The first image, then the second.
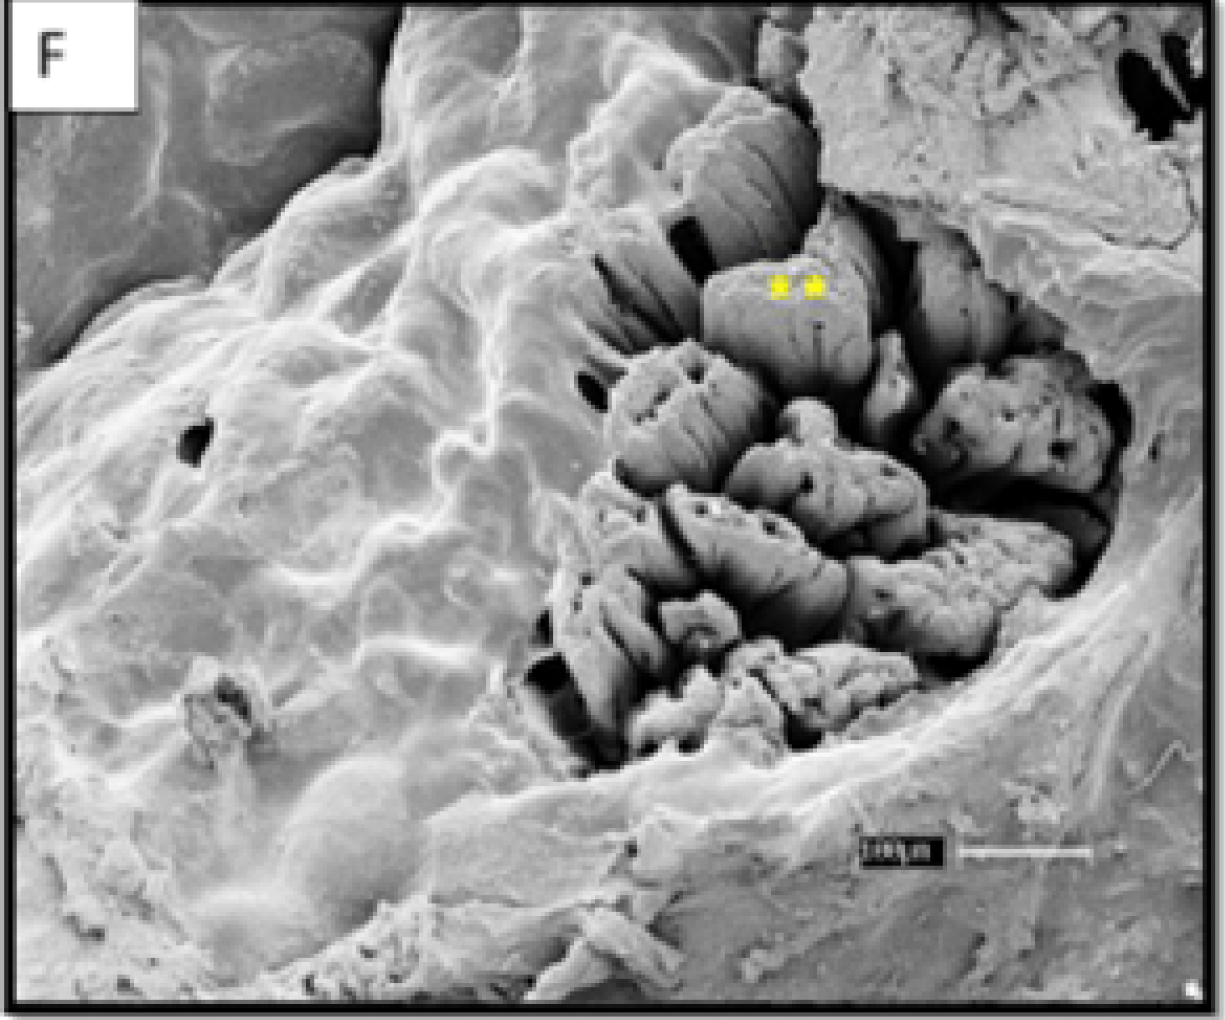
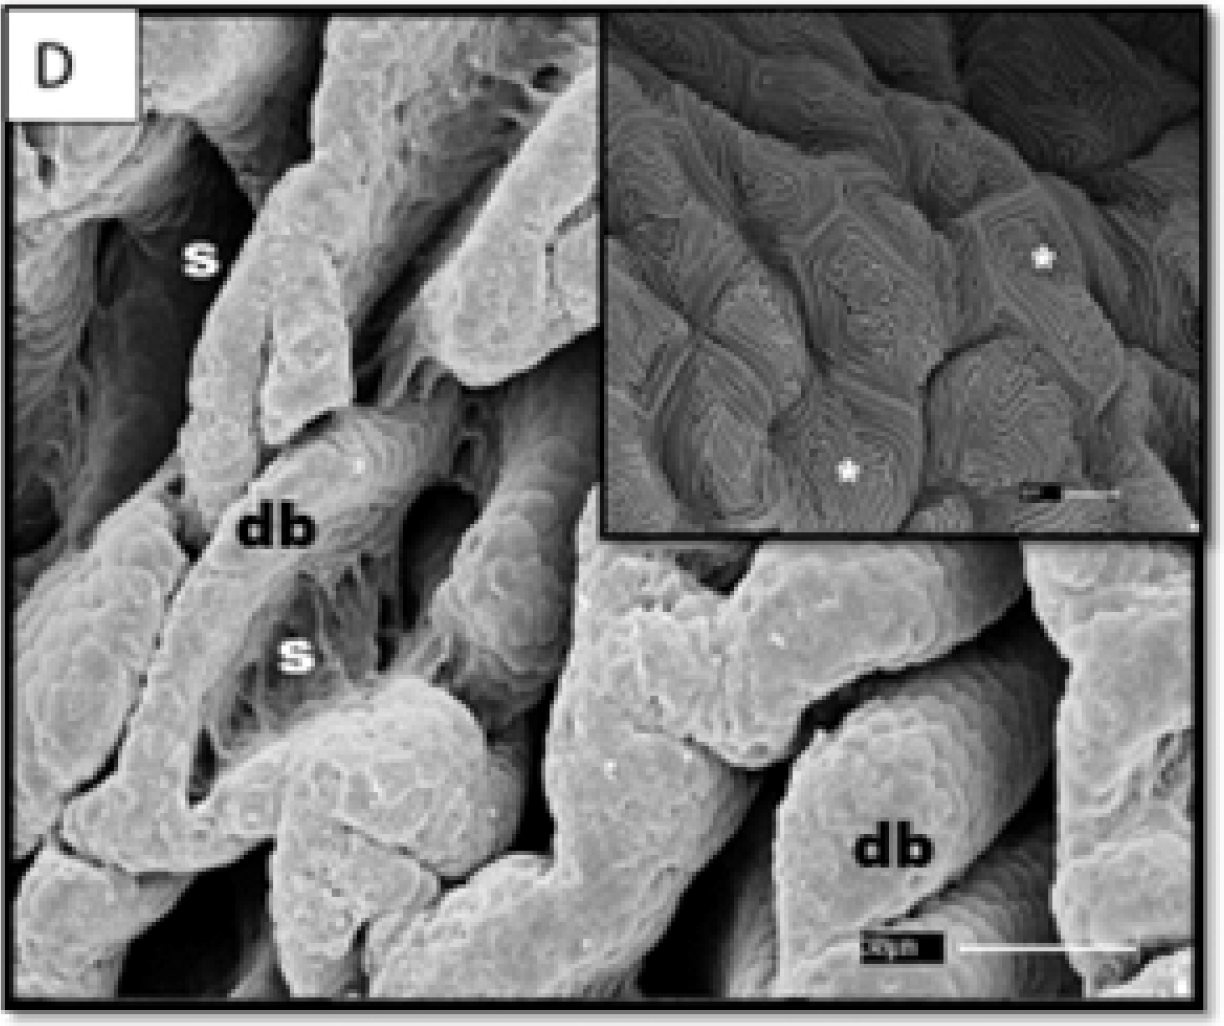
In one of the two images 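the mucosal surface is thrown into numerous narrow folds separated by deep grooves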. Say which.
The second image.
